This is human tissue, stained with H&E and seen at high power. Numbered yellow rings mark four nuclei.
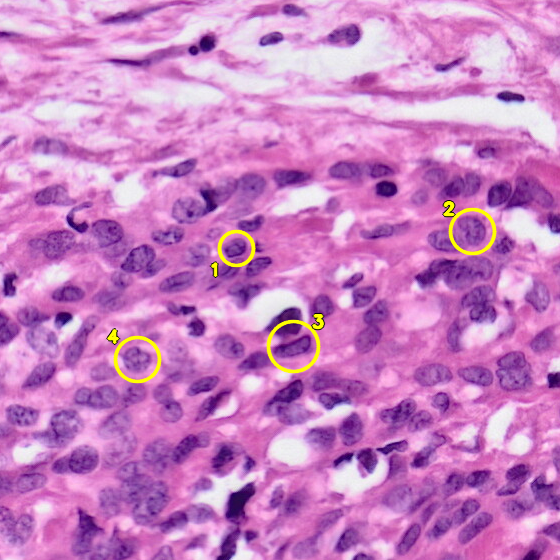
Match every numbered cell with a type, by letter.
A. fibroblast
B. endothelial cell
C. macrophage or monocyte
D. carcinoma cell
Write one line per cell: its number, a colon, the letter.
1: C
2: D
3: D
4: C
